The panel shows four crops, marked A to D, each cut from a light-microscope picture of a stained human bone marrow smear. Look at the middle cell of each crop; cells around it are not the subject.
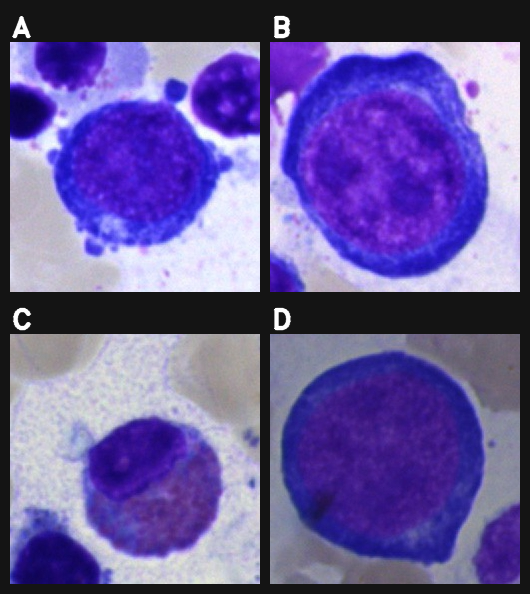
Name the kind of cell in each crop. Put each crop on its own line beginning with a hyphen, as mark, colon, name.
- A: proerythroblast
- B: proerythroblast
- C: eosinophil
- D: proerythroblast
